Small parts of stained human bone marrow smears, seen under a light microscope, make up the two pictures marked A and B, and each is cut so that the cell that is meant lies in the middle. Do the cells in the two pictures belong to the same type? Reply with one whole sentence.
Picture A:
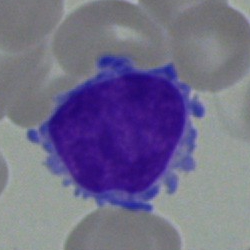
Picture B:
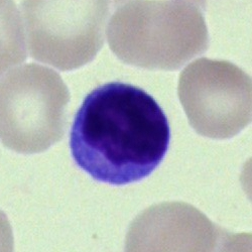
No. Picture A shows a blast, but picture B shows a lymphocyte.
